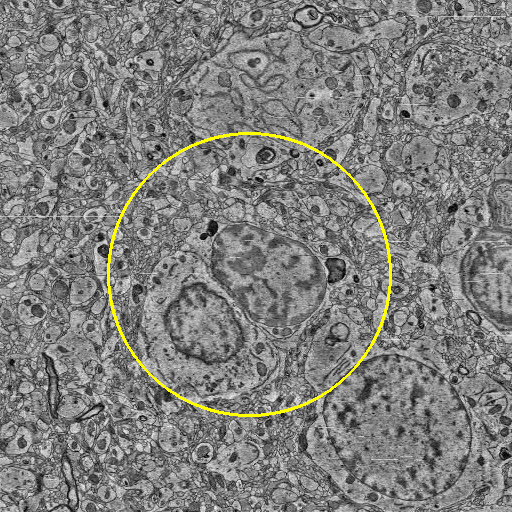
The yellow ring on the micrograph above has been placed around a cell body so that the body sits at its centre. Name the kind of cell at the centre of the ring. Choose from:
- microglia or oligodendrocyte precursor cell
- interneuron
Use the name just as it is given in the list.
microglia or oligodendrocyte precursor cell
